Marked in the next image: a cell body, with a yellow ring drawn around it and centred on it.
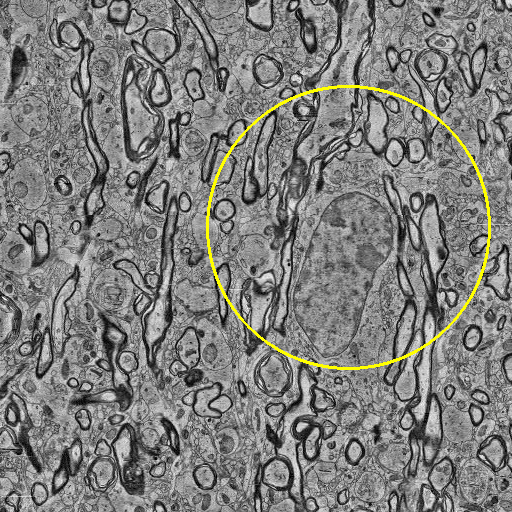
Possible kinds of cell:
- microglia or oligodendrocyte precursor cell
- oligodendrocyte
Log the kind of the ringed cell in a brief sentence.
The ringed cell body is that of a microglial cell or oligodendrocyte precursor cell.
